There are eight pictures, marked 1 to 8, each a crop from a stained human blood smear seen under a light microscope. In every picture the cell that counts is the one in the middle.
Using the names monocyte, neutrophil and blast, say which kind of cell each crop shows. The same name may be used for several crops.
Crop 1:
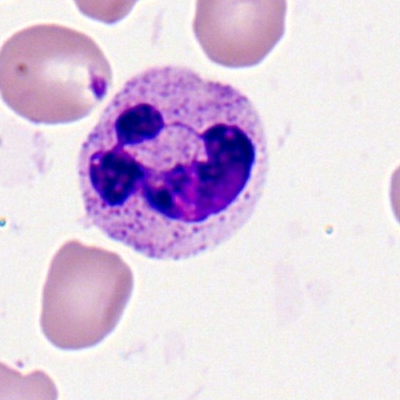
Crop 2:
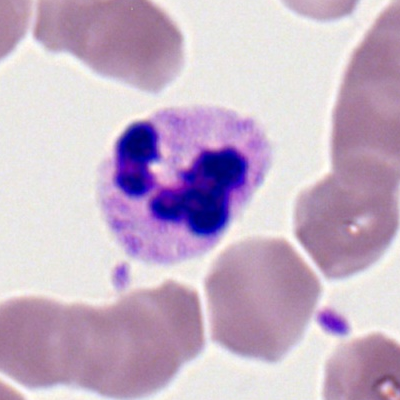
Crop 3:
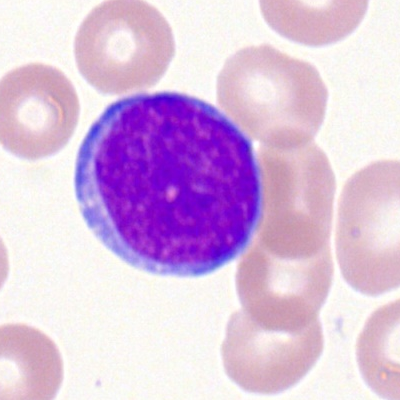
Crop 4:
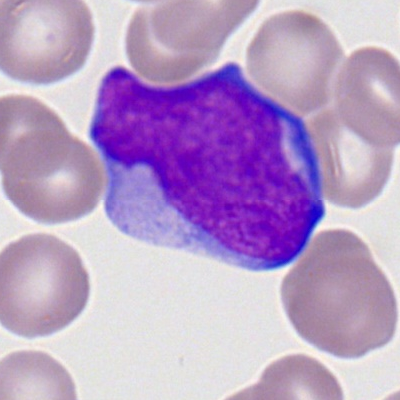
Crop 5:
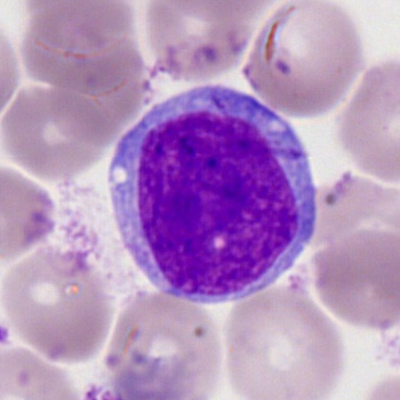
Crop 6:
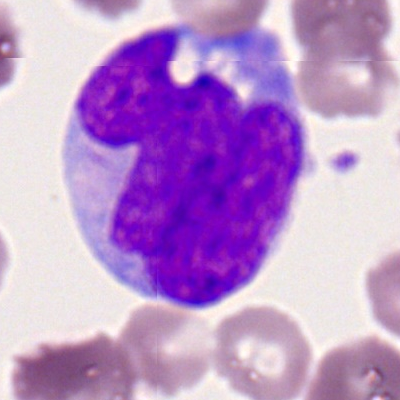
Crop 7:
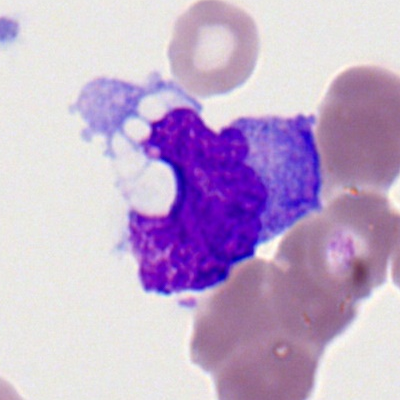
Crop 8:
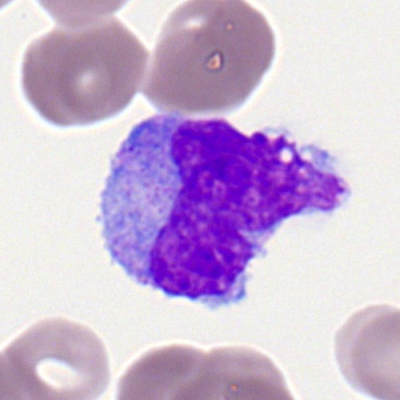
1: neutrophil
2: neutrophil
3: blast
4: blast
5: blast
6: monocyte
7: monocyte
8: monocyte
